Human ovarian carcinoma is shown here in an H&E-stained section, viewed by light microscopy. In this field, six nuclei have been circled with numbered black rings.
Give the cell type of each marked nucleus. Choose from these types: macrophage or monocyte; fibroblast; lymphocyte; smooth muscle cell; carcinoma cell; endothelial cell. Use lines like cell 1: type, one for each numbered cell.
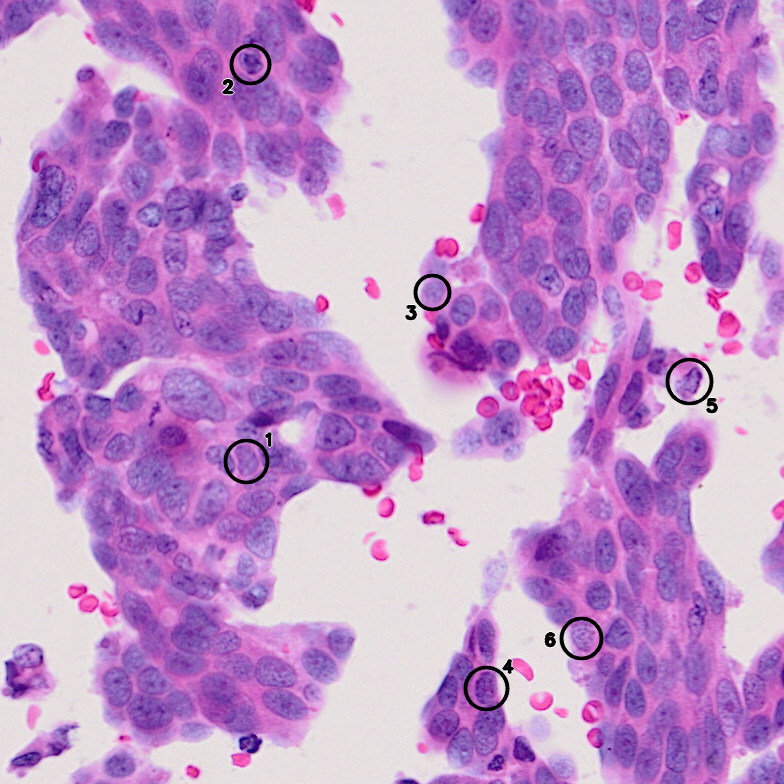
cell 1: carcinoma cell
cell 2: lymphocyte
cell 3: carcinoma cell
cell 4: carcinoma cell
cell 5: macrophage or monocyte
cell 6: carcinoma cell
